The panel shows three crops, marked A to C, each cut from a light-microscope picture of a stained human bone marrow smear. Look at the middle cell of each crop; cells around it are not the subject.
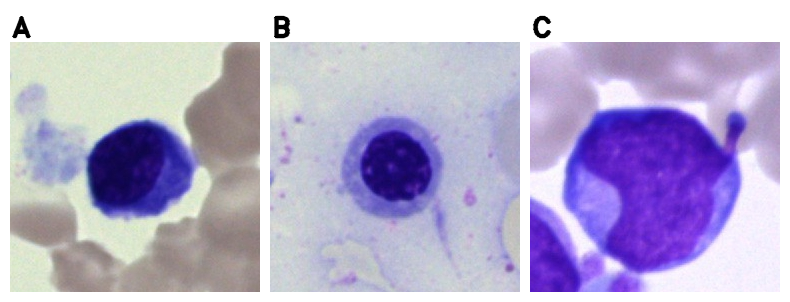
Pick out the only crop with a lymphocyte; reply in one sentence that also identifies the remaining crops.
In crop A the central cell is a lymphocyte, while crop B is an erythroblast and crop C is a blast.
